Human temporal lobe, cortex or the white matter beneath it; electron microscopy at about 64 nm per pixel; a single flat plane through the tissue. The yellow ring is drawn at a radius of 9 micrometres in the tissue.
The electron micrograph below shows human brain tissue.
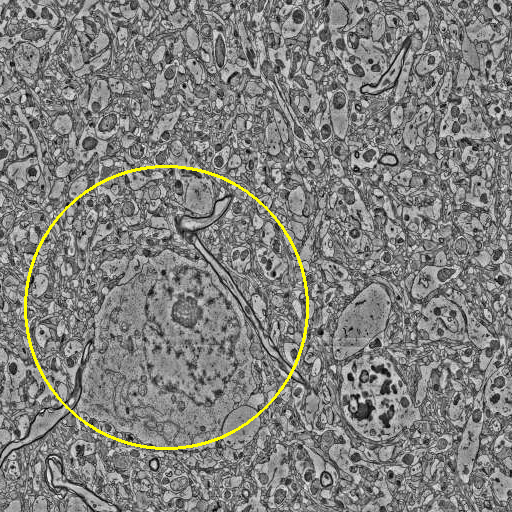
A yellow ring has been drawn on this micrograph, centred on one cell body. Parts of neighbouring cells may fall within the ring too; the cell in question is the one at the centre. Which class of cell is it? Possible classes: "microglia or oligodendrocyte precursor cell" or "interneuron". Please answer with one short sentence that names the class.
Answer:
In the centre of the ring sits an interneuron.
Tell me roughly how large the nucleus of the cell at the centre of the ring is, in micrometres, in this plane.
About 9 by 6 micrometers, in this plane.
